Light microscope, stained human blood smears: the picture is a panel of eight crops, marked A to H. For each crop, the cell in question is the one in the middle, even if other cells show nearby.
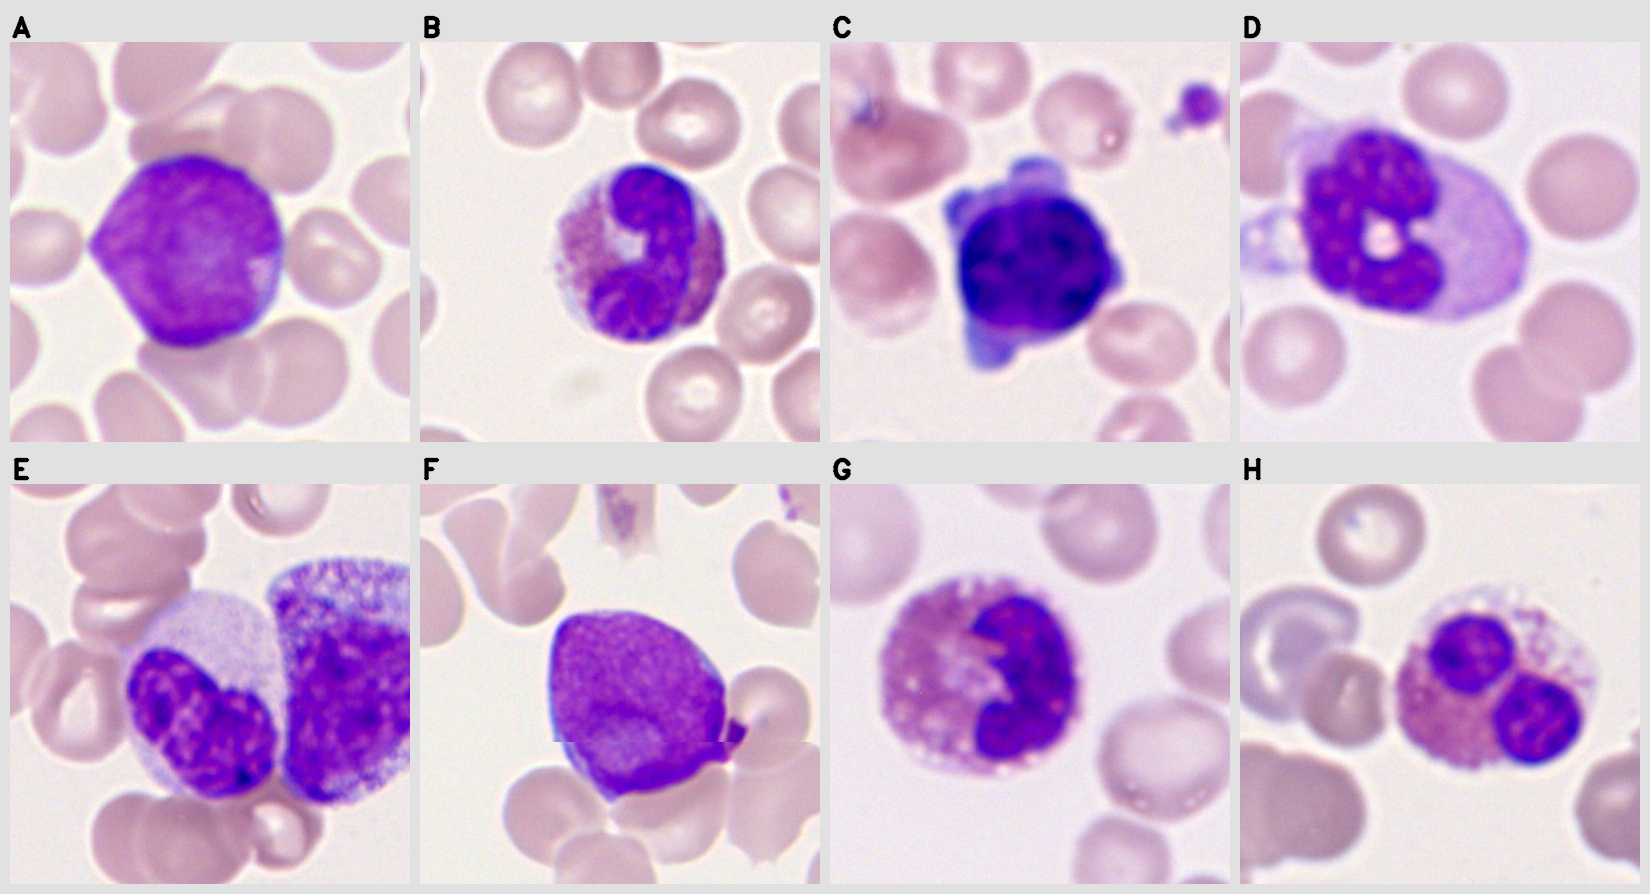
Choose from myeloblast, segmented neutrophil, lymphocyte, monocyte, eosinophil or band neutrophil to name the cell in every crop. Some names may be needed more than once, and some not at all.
A: myeloblast
B: eosinophil
C: myeloblast
D: monocyte
E: band neutrophil
F: myeloblast
G: eosinophil
H: eosinophil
